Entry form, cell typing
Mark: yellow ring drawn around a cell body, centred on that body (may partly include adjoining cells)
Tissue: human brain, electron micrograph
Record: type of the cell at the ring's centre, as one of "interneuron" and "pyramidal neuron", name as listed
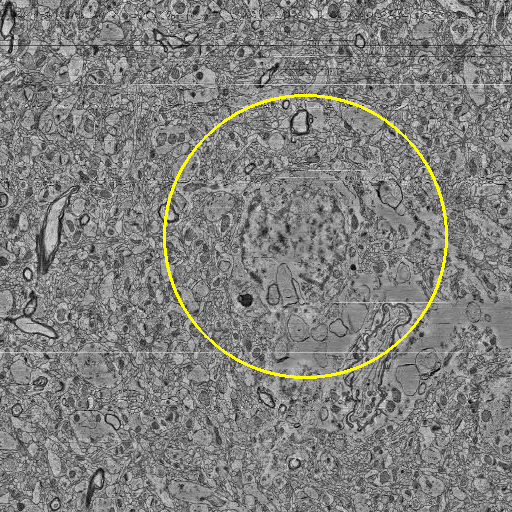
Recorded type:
interneuron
